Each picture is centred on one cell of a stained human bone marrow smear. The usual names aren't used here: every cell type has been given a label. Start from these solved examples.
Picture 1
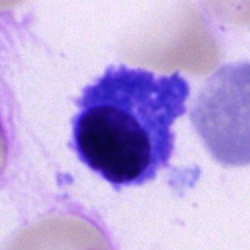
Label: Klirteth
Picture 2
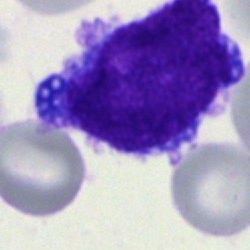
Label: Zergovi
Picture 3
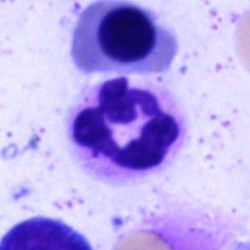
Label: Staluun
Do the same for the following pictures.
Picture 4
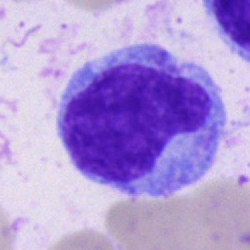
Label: Klirteth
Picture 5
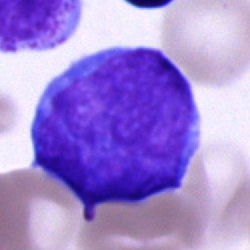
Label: Zergovi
